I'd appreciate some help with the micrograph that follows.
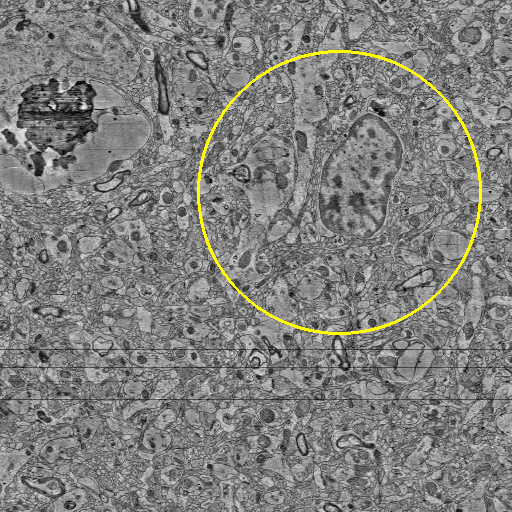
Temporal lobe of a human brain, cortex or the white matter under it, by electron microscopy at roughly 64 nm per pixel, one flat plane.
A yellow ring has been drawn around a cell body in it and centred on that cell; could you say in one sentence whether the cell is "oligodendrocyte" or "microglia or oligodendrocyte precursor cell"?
It is a microglial cell or oligodendrocyte precursor cell at the centre of the ring.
